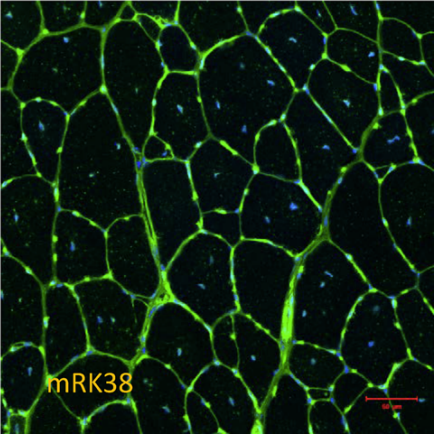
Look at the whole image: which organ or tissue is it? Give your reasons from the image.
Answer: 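Tightly packed polygonal fibers seen in cross-section. Thin green borders separate the fibers. Small nuclei sit at the fiber edges.
Hence: skeletal muscle.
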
